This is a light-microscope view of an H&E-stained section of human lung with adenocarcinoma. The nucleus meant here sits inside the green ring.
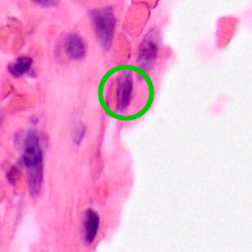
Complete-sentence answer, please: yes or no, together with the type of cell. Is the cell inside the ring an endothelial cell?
Yes, the cell inside the ring in this field is an endothelial cell.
